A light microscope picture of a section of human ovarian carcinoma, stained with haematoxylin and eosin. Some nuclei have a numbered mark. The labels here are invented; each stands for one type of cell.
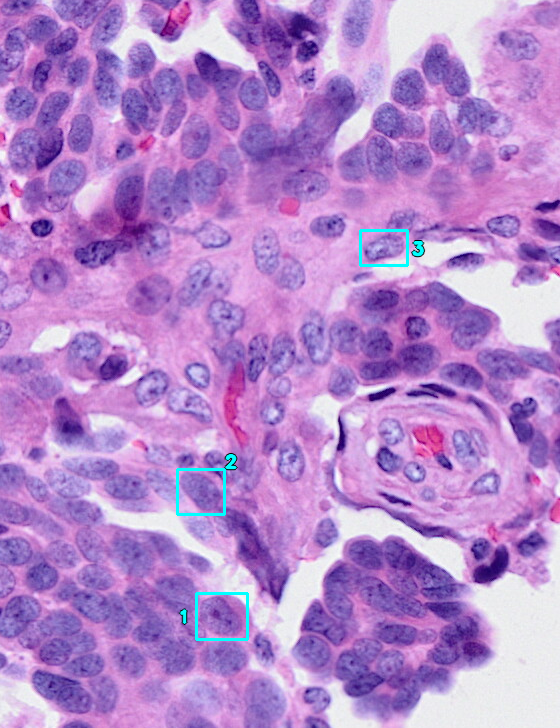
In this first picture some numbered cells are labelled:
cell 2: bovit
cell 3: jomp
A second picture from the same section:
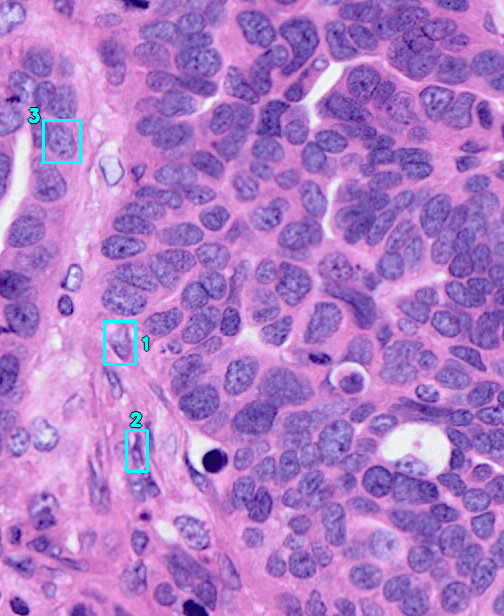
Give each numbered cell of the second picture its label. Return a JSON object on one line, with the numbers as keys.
{"1": "jomp", "2": "jomp", "3": "bovit"}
